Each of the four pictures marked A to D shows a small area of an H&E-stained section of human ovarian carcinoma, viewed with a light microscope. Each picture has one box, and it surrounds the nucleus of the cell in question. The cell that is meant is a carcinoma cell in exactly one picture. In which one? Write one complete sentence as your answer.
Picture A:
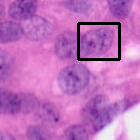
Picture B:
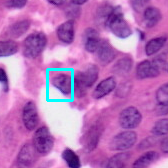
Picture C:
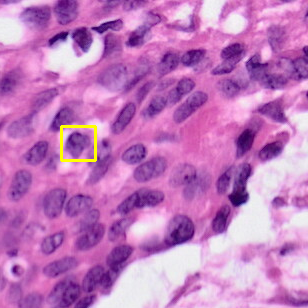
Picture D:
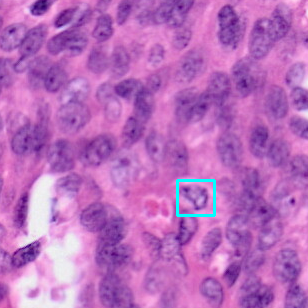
Picture A is the one that shows the carcinoma cell.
